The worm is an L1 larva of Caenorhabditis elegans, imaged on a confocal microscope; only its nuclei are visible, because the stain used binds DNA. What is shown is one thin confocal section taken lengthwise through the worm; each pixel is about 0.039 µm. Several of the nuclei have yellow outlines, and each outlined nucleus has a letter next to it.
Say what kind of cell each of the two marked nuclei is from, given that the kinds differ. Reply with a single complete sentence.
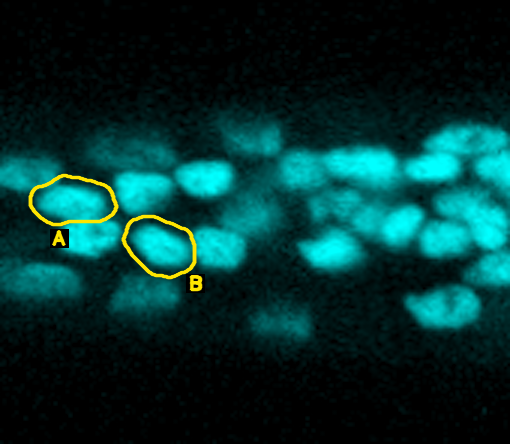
B belongs to a glial cell (sheath or socket), and A to an arcade cell.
